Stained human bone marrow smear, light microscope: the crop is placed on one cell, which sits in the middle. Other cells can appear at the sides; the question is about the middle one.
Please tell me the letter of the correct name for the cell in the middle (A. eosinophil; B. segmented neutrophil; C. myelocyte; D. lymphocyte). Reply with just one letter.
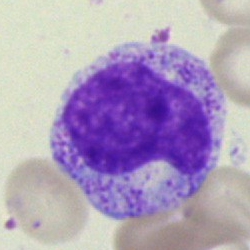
C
